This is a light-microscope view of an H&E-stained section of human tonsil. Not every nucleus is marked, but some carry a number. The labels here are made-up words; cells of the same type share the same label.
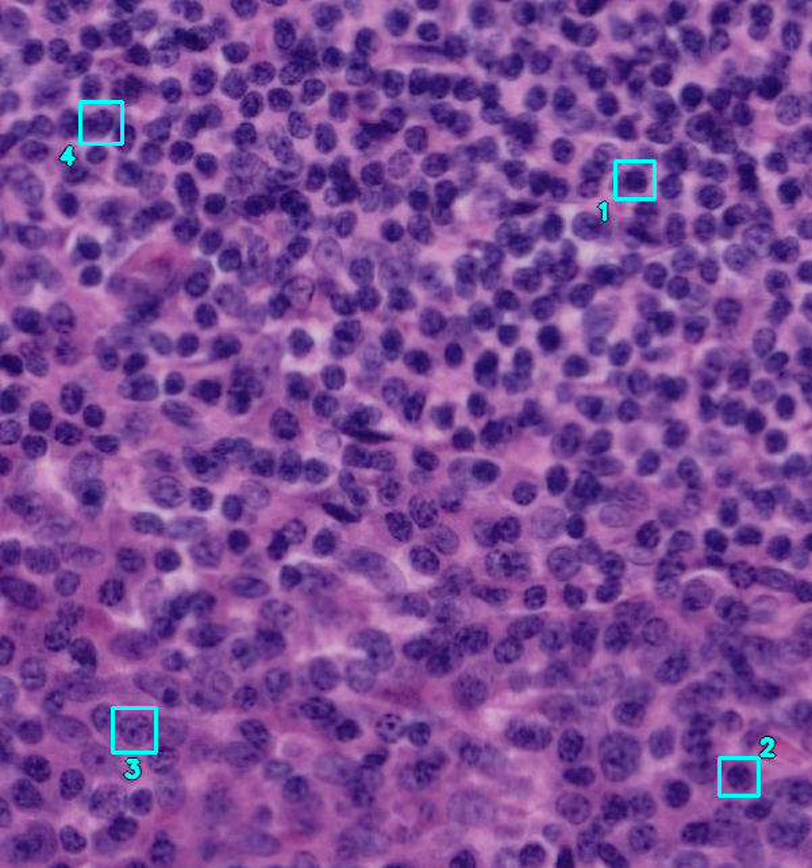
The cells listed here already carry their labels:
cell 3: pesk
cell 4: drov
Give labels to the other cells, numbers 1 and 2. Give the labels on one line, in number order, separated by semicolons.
drov; pesk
